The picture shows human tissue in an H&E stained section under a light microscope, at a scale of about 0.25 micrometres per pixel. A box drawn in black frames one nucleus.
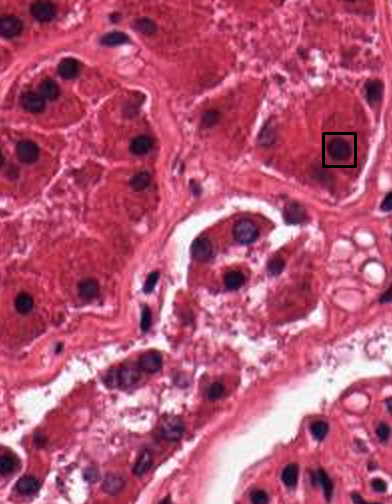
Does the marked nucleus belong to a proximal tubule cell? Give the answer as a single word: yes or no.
yes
